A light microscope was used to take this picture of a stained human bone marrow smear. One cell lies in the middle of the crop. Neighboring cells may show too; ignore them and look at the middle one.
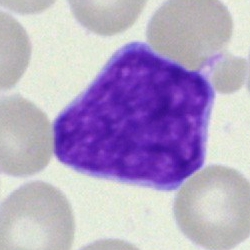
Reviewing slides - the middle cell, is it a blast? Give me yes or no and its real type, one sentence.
Yes, that is a blast in the middle of the crop.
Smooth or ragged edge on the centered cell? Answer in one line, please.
The cytoplasmic margin is uneven, whether through ragged segments or through projections.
